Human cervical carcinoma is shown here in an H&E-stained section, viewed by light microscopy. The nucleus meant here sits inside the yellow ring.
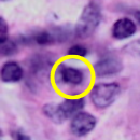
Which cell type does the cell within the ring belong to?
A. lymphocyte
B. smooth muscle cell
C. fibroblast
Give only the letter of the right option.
A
